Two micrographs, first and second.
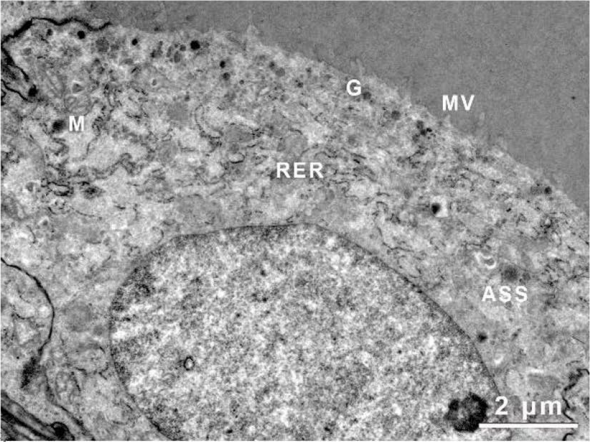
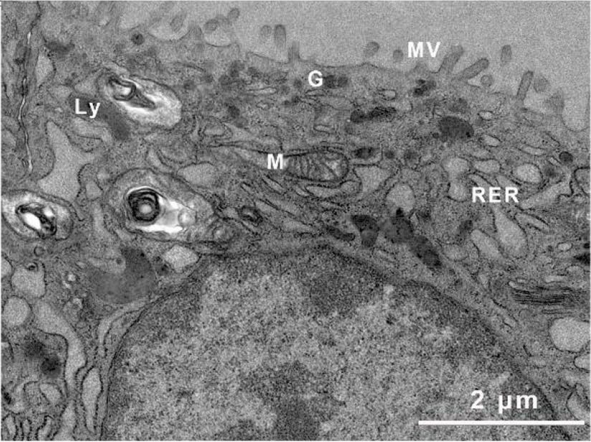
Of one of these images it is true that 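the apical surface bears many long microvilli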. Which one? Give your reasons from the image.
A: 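First image: the apical border facing the lumen is almost smooth, with only a few tiny projections. Second image: numerous slender finger-like microvilli project from the apical surface into the lumen. On this evidence: the second image.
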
